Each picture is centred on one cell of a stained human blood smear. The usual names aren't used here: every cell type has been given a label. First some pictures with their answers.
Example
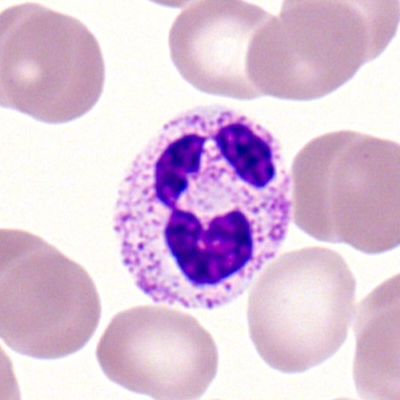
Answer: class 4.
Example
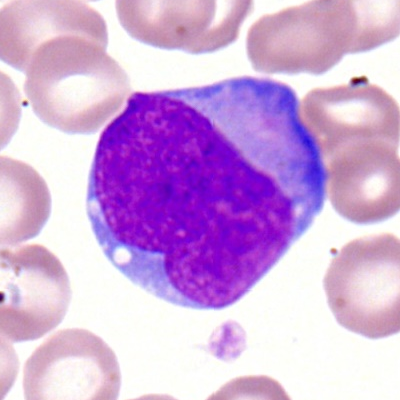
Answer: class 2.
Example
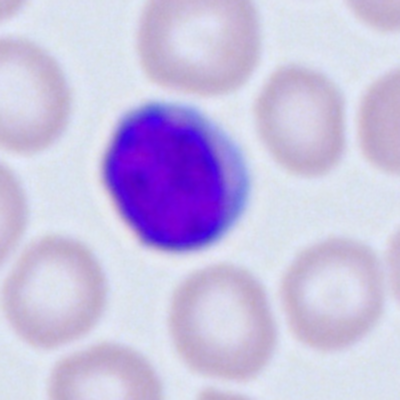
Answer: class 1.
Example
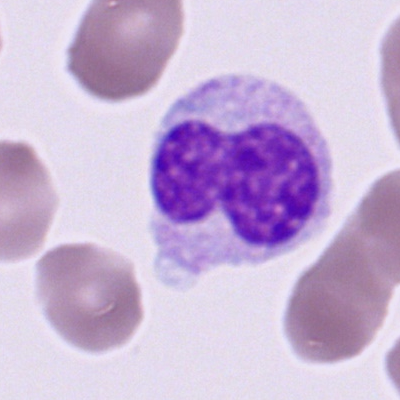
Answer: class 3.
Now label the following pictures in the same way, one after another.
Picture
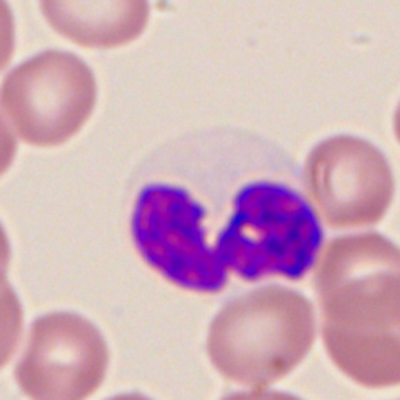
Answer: class 4.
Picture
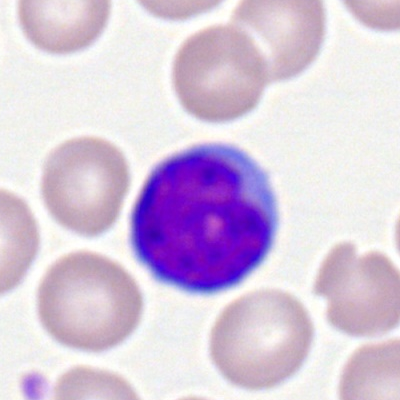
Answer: class 1.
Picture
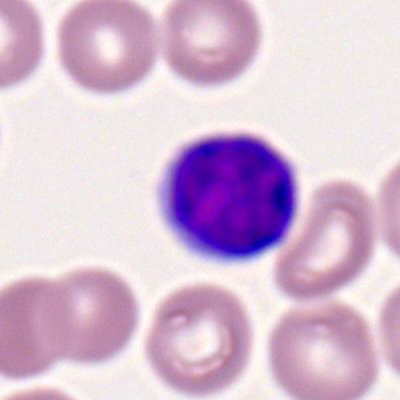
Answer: class 1.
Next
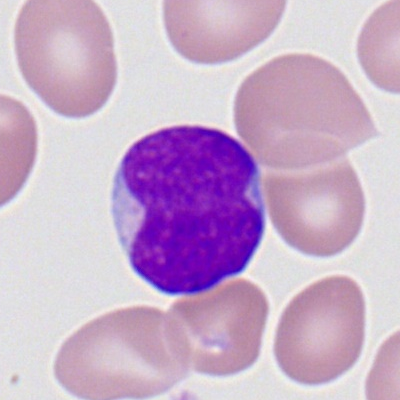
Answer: class 2.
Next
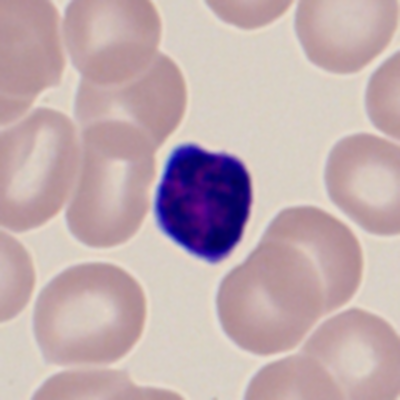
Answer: class 1.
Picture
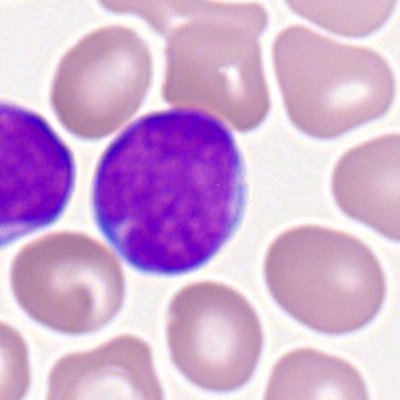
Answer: class 2.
